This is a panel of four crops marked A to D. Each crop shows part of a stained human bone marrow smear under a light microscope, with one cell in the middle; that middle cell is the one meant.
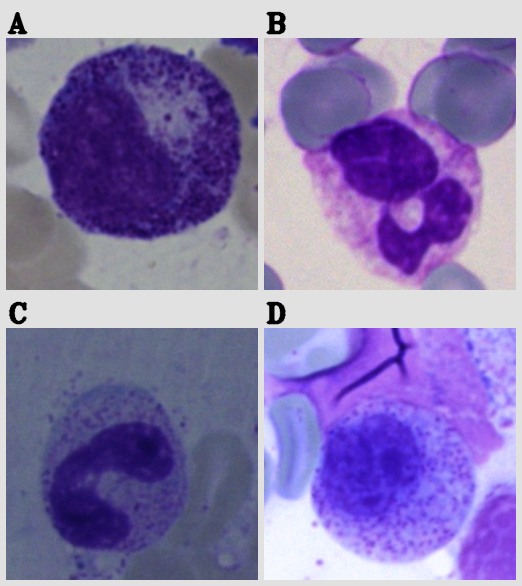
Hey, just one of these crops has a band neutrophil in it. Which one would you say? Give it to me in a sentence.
Of the labelled crops, the one that shows a band neutrophil is crop C.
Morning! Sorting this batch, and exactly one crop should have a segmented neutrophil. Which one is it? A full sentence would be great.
In the set of crops, crop B is the one that contains a segmented neutrophil.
